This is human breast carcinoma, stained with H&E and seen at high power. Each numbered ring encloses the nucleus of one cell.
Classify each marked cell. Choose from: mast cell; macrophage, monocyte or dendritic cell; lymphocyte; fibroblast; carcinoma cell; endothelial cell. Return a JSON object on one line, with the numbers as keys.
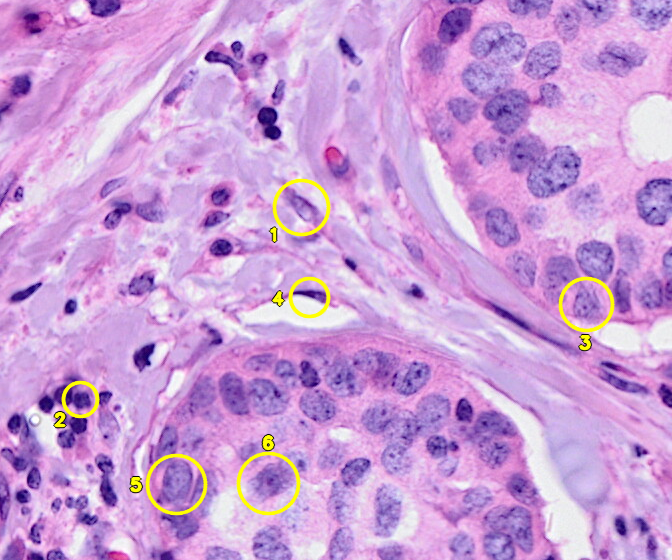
{"1": "fibroblast", "2": "lymphocyte", "3": "carcinoma cell", "4": "fibroblast", "5": "carcinoma cell", "6": "carcinoma cell"}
